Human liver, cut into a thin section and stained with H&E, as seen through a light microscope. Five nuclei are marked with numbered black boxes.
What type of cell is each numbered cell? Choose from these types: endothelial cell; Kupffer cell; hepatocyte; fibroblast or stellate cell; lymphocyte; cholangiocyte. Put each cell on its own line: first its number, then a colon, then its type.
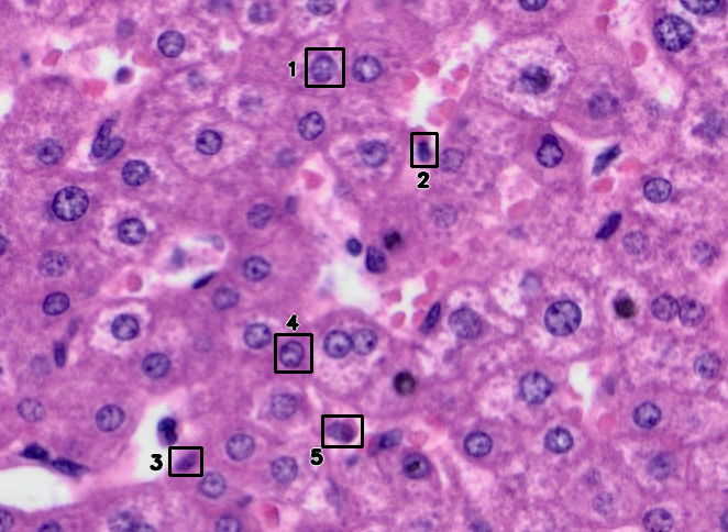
1: hepatocyte
2: lymphocyte
3: fibroblast or stellate cell
4: hepatocyte
5: Kupffer cell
